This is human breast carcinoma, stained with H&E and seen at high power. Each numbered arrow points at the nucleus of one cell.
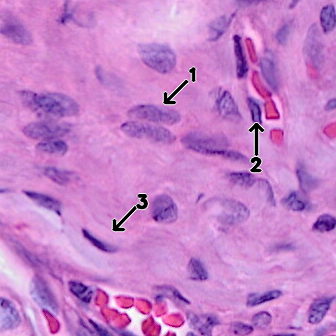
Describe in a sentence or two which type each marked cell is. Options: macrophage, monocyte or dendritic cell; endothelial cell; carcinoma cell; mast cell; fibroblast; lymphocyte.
Cell 1 is a fibroblast, cell 2 is an endothelial cell and cell 3 is a fibroblast.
